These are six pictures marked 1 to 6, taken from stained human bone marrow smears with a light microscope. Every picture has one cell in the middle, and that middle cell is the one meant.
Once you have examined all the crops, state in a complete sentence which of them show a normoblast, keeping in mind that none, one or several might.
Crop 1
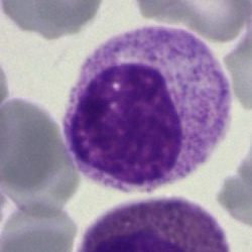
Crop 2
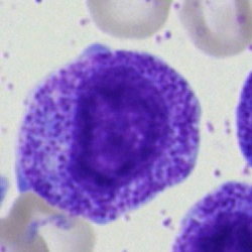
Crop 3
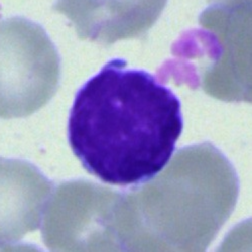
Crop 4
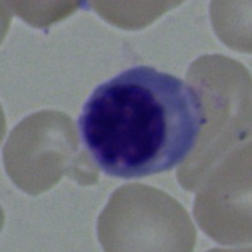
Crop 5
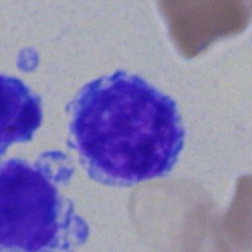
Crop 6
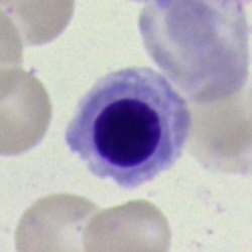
The cells marked 4 and 6 are normoblasts.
